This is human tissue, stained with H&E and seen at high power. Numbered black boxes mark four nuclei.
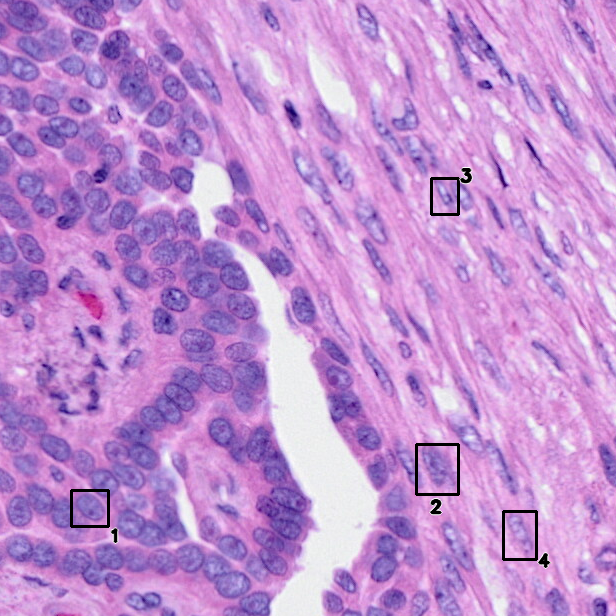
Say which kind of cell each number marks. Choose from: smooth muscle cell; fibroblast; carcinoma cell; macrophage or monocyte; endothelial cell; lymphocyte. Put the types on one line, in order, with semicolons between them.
carcinoma cell; fibroblast; fibroblast; fibroblast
